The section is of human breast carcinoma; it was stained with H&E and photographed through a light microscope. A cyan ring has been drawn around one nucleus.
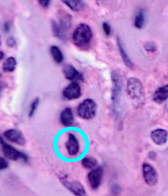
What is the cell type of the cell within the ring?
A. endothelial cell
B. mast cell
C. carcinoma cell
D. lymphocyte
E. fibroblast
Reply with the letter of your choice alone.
D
